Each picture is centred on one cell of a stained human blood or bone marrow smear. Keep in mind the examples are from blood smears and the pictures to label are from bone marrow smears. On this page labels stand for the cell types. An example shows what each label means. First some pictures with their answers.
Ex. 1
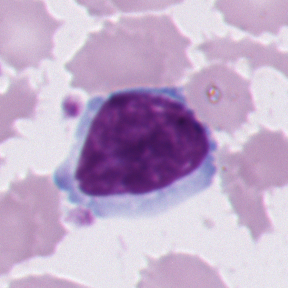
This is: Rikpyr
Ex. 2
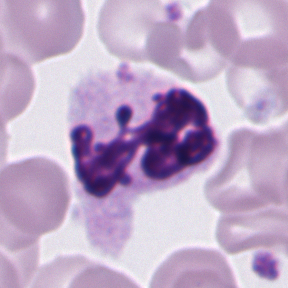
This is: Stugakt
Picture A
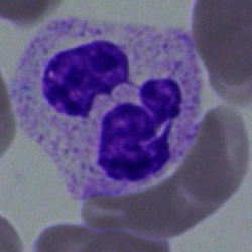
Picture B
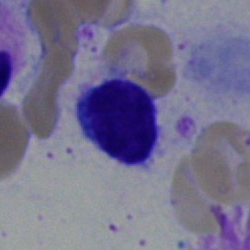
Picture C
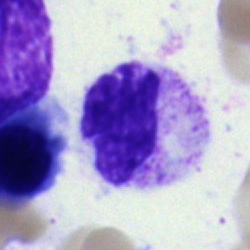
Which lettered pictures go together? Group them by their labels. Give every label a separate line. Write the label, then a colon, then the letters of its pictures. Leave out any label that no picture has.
Rikpyr: B
Stugakt: A, C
